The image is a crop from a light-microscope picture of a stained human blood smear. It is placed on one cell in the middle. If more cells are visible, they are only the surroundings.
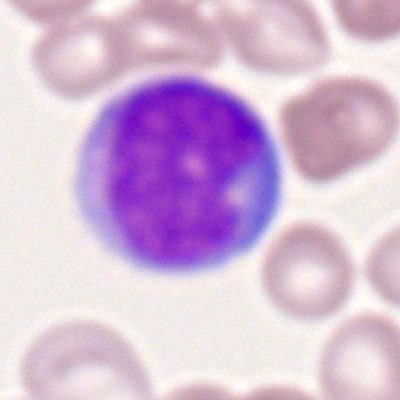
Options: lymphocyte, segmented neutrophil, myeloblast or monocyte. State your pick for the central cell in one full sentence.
The cell in the middle of this crop is a myeloblast.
